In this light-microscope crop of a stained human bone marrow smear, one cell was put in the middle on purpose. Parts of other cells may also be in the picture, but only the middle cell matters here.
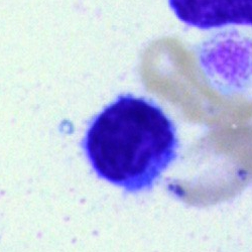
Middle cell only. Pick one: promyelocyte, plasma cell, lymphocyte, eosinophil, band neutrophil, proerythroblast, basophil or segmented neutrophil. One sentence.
The cell nearest the centre of this crop is a lymphocyte.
